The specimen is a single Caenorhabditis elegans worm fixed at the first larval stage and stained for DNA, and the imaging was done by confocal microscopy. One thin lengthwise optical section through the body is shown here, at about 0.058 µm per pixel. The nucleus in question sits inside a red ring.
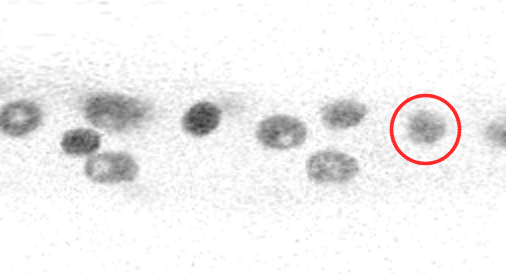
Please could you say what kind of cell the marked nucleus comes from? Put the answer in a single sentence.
The nucleus comes from a Q neuroblast.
